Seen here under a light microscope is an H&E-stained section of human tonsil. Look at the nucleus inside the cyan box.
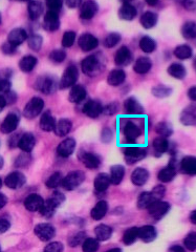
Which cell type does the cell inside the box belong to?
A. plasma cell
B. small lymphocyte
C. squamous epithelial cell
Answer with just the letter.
B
